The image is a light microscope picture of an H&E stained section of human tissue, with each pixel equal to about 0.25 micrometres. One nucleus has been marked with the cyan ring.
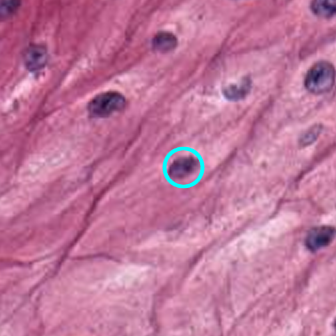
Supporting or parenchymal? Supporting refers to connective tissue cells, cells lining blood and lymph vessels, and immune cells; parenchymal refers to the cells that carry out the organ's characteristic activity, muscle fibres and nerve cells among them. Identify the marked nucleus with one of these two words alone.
parenchymal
